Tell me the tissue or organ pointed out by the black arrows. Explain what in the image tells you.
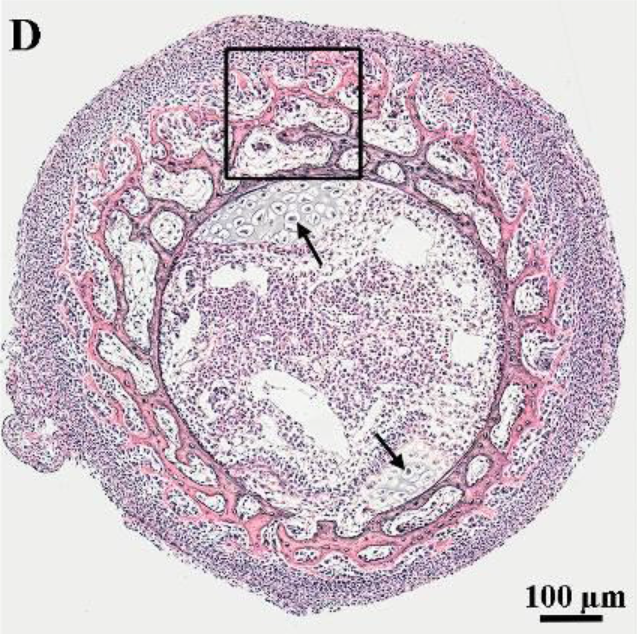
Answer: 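The arrows point to pale bluish-grey glassy matrix at the inner edge of the central cavity. Rounded cells sit in clear spaces within that matrix.
Remnants of cartilage.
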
